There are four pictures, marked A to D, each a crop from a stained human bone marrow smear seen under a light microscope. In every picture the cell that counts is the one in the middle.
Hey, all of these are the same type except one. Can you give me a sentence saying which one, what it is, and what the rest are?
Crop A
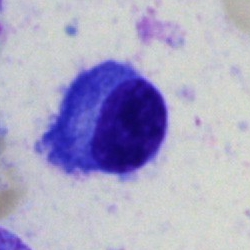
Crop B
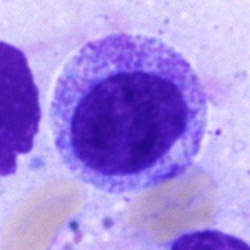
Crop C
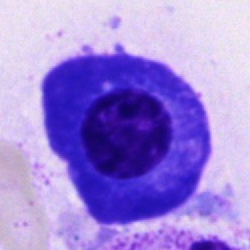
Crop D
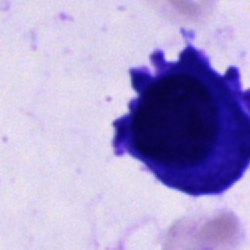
Differing from the rest, crop B shows a myelocyte; the others all show plasma cells.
